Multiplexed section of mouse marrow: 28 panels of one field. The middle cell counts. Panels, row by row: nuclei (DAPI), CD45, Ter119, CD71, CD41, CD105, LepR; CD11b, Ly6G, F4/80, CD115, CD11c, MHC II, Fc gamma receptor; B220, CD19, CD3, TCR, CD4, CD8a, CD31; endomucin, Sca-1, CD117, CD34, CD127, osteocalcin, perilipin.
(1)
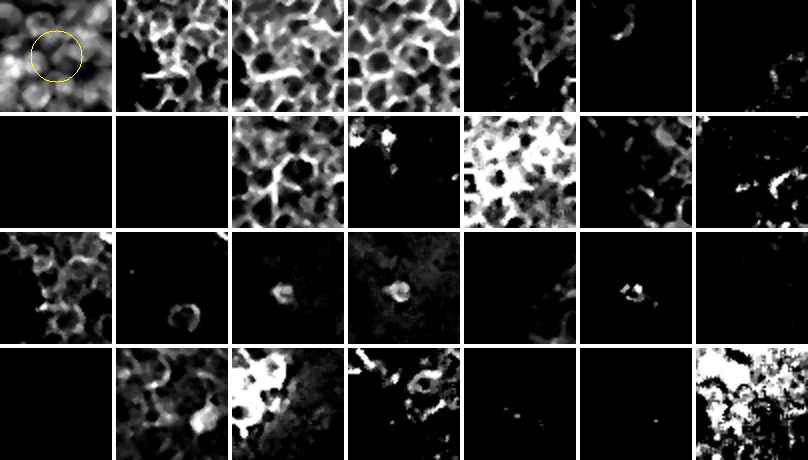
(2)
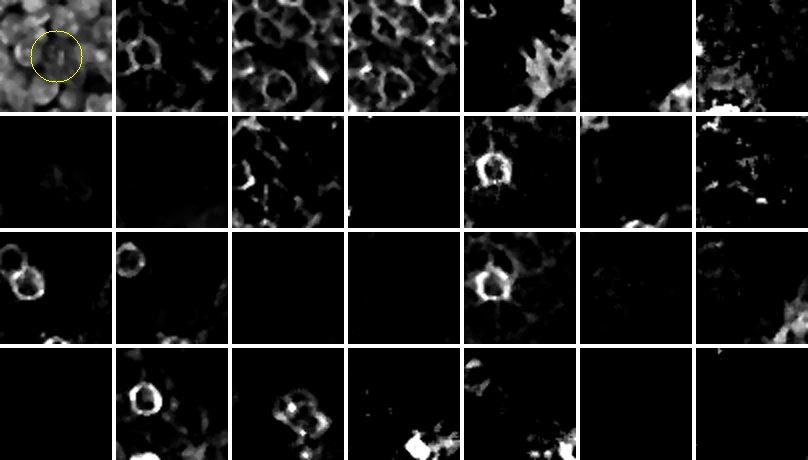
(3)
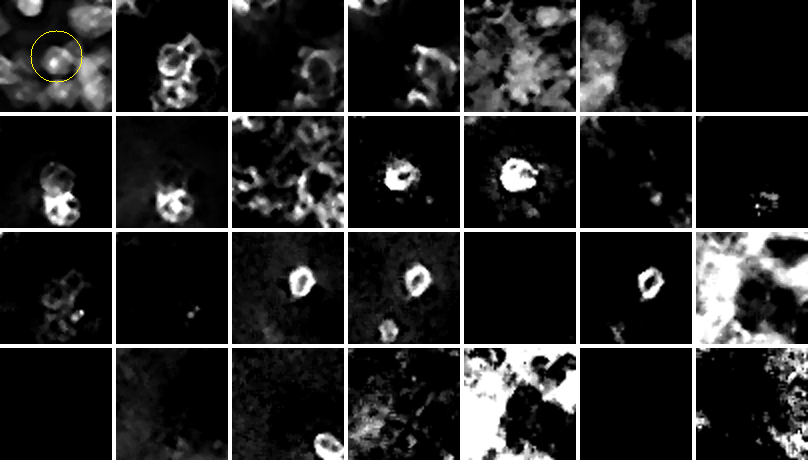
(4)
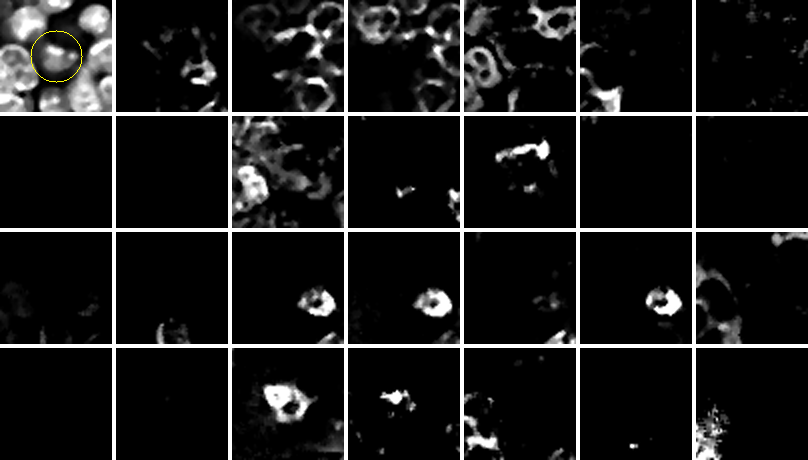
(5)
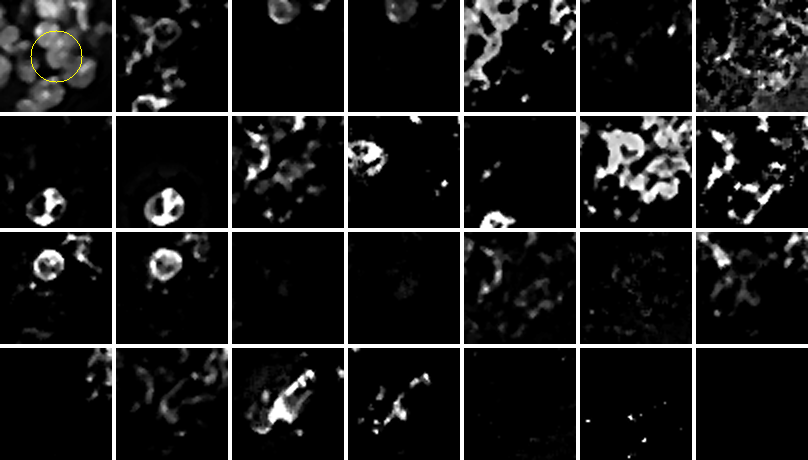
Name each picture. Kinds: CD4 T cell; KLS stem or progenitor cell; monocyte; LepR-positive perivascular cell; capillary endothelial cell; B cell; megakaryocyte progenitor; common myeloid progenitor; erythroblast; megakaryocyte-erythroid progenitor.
Picture 1: megakaryocyte progenitor
Picture 2: KLS stem or progenitor cell
Picture 3: monocyte
Picture 4: common myeloid progenitor
Picture 5: megakaryocyte-erythroid progenitor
